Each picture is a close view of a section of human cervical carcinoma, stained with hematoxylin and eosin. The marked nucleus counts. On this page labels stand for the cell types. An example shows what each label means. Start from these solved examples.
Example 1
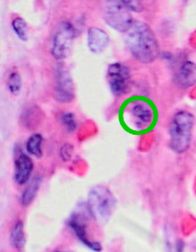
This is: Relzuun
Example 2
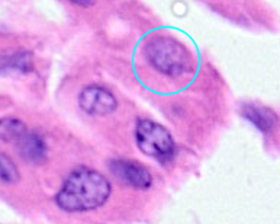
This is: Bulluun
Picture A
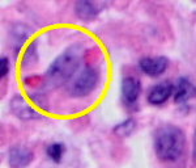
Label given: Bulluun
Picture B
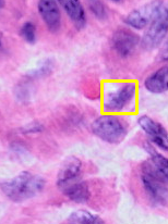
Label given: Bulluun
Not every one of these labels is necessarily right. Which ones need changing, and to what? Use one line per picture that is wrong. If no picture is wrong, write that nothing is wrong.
Wrong: A (Bulluun); correct: Relzuun
Wrong: B (Bulluun); correct: Relzuun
